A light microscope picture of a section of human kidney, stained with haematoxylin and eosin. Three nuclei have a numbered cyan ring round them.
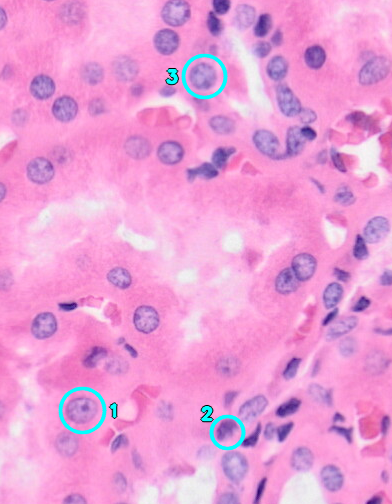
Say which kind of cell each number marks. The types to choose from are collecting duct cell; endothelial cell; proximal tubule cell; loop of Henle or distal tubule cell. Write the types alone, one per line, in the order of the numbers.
proximal tubule cell
collecting duct cell
collecting duct cell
